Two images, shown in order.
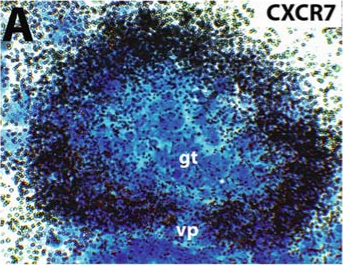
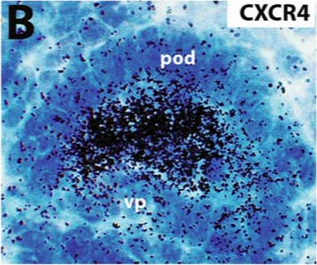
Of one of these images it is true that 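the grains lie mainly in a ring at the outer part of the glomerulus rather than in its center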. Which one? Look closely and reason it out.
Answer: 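The first image. Second image: grains crowd in a dense patch at the center of the glomerulus. First image: grains form a dense ring at the periphery with a lighter center.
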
